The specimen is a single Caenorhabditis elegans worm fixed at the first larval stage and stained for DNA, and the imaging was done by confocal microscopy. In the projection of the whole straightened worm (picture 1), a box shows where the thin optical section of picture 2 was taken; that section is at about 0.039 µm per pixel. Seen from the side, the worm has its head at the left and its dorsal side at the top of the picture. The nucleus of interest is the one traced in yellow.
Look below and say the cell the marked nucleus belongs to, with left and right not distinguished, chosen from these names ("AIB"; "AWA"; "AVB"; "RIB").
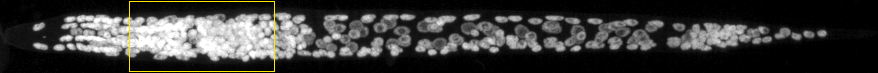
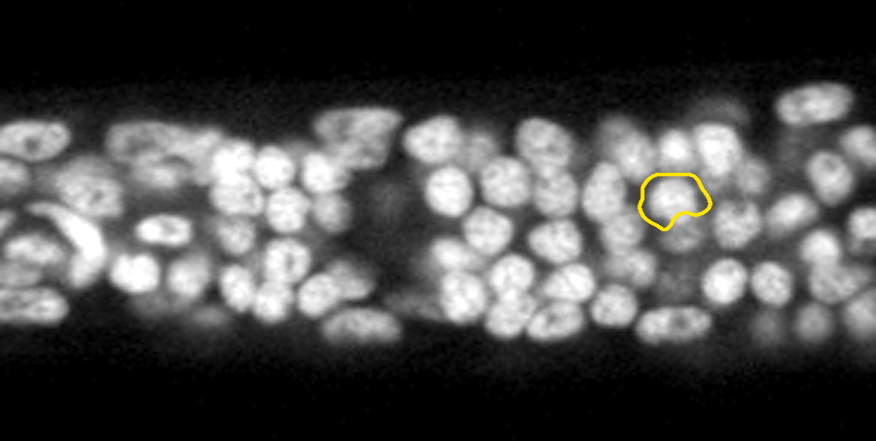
AVB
